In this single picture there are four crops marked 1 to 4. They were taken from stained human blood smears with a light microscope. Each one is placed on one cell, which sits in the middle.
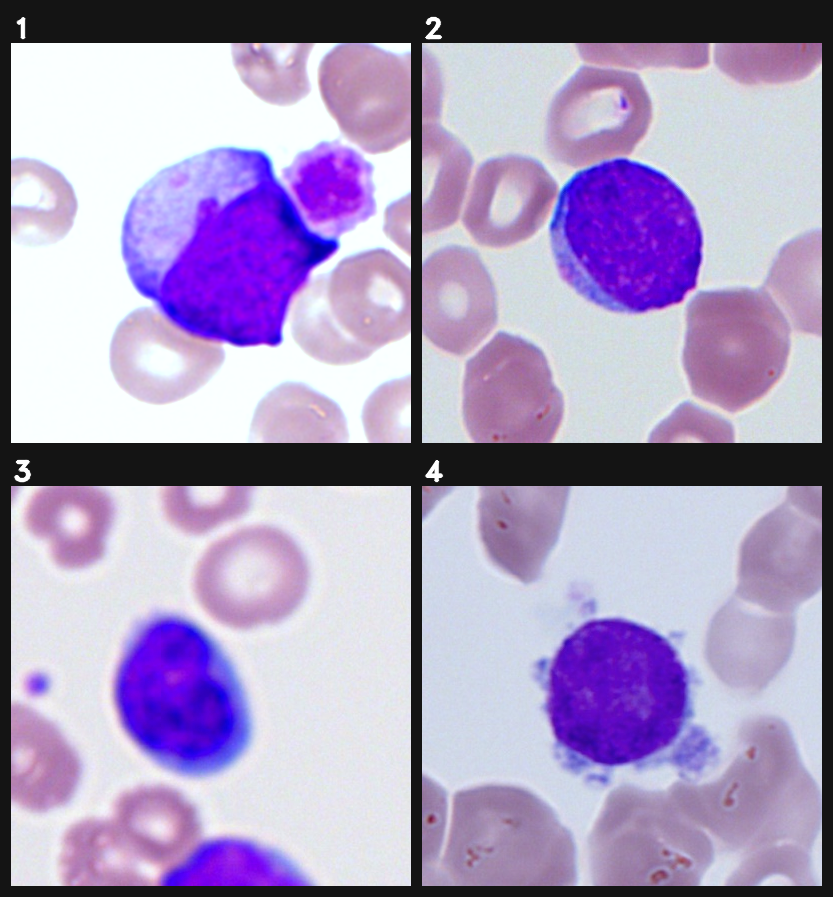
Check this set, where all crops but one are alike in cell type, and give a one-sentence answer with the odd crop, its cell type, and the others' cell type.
Apart from crop 1, a blast, the crops all show lymphocytes.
